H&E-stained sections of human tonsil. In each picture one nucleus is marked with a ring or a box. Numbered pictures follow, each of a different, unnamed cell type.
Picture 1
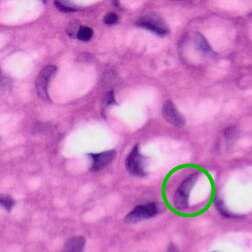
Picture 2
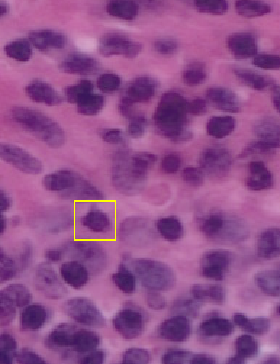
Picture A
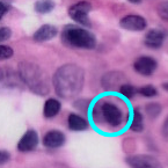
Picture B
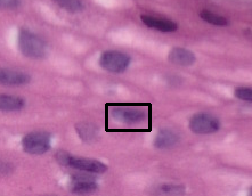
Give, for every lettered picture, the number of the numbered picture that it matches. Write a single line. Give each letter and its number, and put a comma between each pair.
A 2, B 1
